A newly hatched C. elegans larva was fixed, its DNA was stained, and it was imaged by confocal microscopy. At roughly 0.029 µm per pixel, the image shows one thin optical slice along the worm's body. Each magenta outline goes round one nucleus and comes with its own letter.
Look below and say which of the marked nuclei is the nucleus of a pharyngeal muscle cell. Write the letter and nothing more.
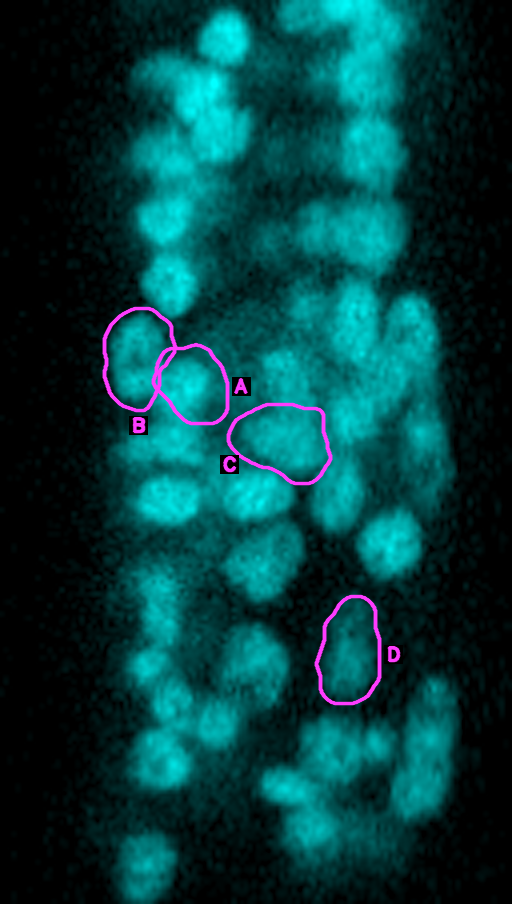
C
